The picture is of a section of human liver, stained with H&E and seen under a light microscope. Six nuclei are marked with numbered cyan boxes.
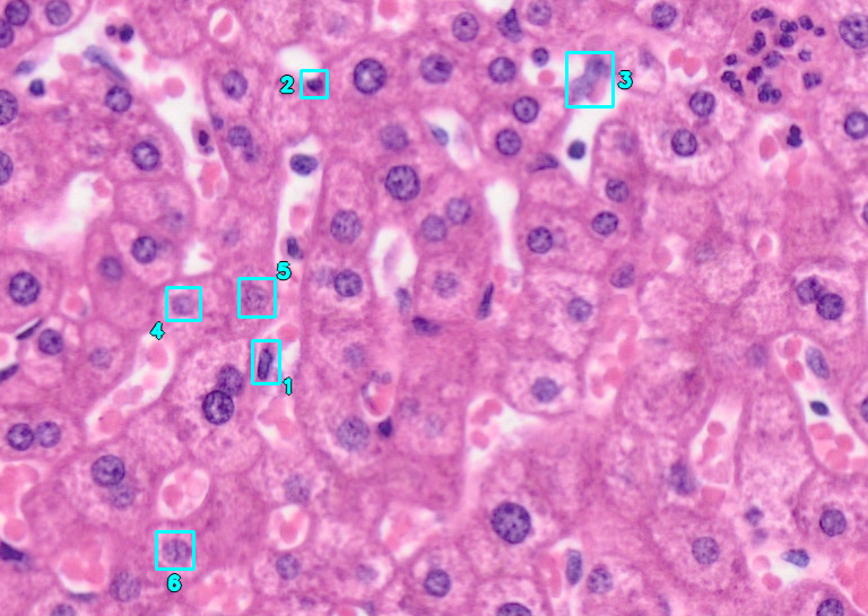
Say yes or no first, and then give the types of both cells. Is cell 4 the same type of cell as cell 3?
No; whereas cell 4 is a hepatocyte, cell 3 is a Kupffer cell.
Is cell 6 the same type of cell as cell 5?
Yes, cells 6 and 5 are both recognised as hepatocytes.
